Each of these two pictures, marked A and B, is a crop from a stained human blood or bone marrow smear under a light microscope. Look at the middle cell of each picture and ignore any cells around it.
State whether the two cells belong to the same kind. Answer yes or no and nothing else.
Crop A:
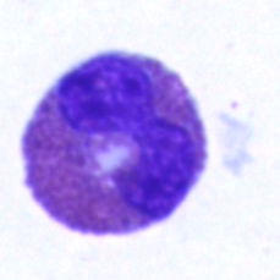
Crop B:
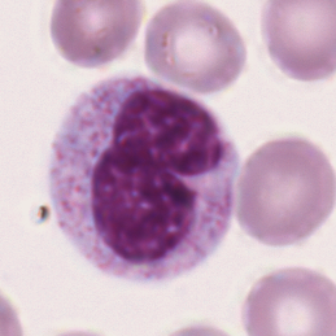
no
